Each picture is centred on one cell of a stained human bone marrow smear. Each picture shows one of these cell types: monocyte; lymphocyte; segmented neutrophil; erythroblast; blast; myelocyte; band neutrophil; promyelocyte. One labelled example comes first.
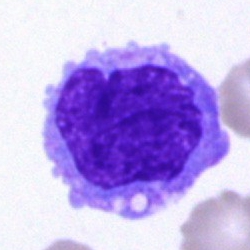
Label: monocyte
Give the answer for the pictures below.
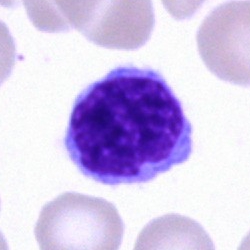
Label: lymphocyte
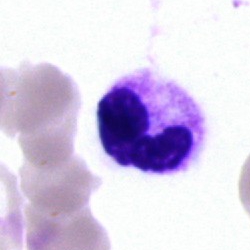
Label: segmented neutrophil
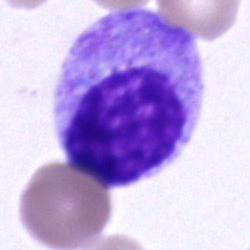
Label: myelocyte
